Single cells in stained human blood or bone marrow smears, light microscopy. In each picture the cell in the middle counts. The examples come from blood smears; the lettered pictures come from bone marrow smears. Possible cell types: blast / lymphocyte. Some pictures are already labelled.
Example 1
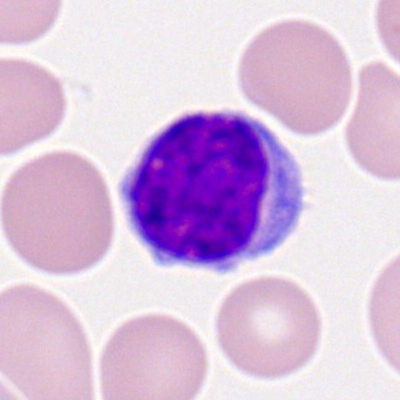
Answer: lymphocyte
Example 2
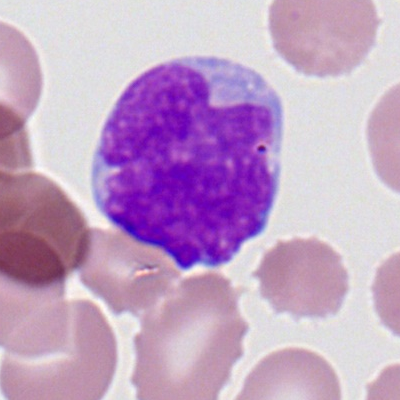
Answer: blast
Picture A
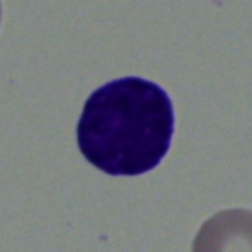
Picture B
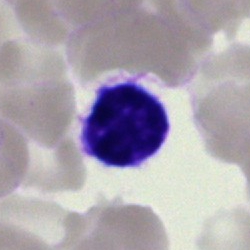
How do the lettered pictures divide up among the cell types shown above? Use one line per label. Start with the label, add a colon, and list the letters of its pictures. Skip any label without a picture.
blast: A
lymphocyte: B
